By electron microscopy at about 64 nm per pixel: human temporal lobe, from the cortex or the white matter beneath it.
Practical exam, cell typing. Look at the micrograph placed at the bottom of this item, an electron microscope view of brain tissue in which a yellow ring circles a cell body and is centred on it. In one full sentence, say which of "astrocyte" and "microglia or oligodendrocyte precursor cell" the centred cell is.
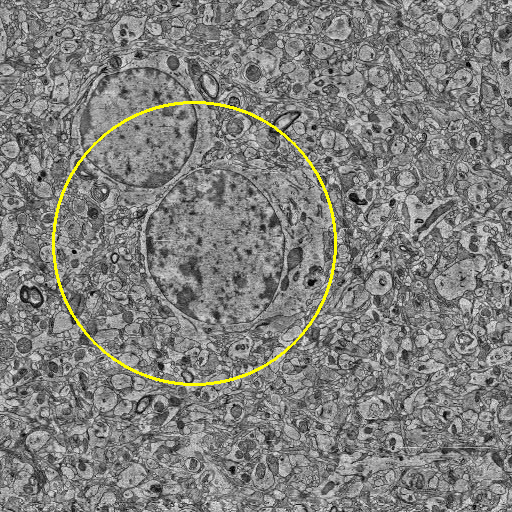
Given the options, an astrocyte fits the cell whose body the yellow ring is centred on.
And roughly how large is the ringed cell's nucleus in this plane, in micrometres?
In this plane the nucleus measures roughly 11 by 9 micrometres.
